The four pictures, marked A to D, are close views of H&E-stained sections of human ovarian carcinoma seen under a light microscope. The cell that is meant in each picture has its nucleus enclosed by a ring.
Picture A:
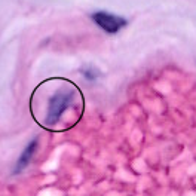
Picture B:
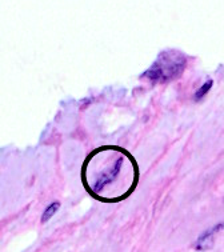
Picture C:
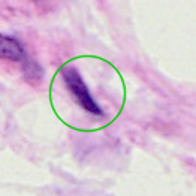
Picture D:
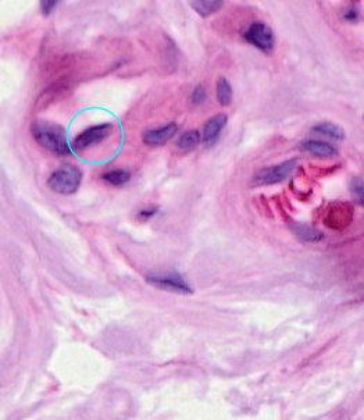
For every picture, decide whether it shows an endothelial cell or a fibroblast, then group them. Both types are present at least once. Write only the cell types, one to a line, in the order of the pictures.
endothelial cell
fibroblast
fibroblast
endothelial cell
